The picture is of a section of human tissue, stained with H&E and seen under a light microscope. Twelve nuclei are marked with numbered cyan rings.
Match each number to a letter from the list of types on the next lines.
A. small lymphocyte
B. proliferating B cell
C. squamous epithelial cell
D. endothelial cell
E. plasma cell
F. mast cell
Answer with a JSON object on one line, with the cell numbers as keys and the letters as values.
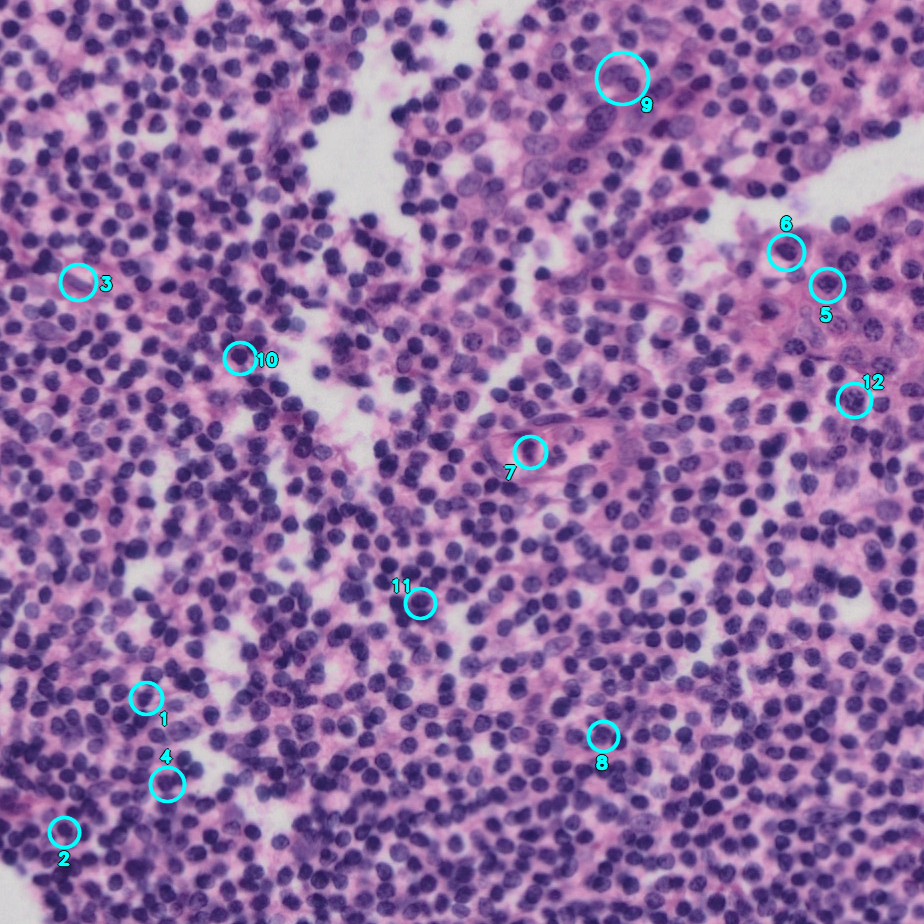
{"1": "A", "2": "A", "3": "D", "4": "A", "5": "E", "6": "E", "7": "D", "8": "A", "9": "C", "10": "A", "11": "A", "12": "E"}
